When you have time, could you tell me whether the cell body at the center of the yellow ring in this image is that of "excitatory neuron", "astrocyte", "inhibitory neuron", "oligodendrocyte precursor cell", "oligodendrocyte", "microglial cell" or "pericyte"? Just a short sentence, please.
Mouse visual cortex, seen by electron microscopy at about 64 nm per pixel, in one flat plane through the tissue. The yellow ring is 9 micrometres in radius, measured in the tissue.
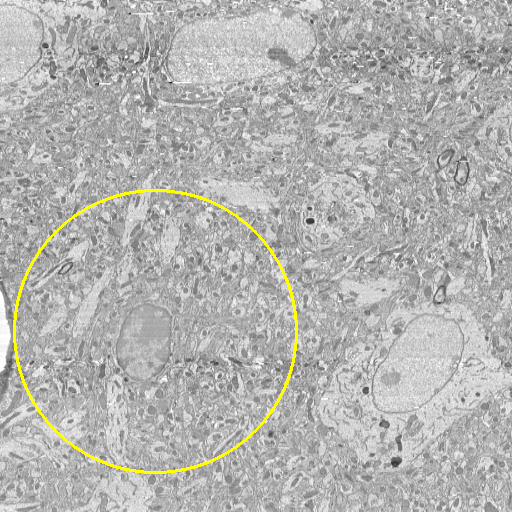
The cell body at the center of the ring is that of a microglial cell.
